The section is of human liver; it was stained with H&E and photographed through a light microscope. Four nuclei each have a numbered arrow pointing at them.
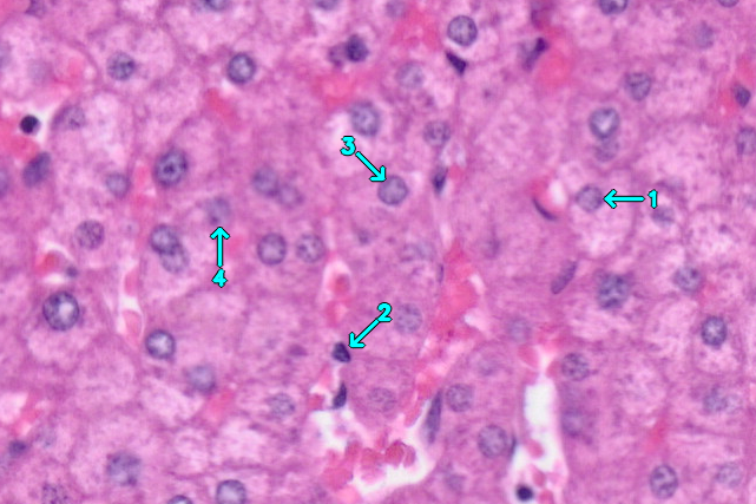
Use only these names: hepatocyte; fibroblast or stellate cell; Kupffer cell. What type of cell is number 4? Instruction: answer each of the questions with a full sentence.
Classified as a hepatocyte is the cell with the number 4.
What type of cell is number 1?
The cell that bears the number 1 is a hepatocyte.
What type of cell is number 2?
The cell marked with number 2 is a fibroblast or stellate cell.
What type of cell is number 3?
The cell referenced by the number 3 is a hepatocyte in this field.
